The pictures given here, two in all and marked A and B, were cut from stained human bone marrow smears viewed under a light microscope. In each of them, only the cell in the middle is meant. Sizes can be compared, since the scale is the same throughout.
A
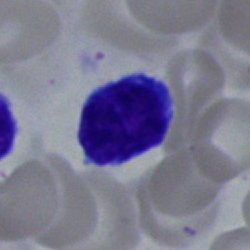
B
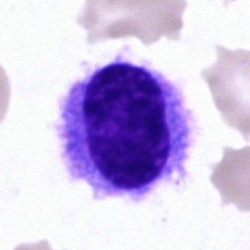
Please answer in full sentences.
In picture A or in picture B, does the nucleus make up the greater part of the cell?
In picture A the nucleus takes up the larger part of its cell.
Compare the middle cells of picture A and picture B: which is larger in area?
Larger is the cell in picture B, at roughly 2 times the area of the other.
